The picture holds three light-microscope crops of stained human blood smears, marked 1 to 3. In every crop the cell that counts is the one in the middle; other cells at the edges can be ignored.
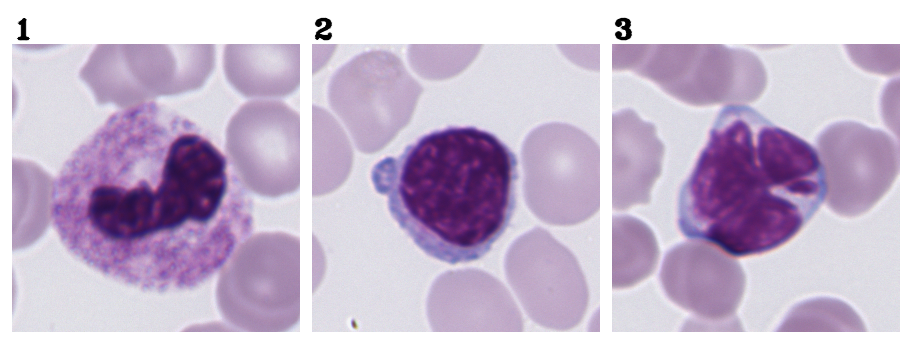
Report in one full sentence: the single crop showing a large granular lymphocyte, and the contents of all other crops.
Crop 3 features a large granular lymphocyte, while crop 1 is a neutrophil and crop 2 is a typical lymphocyte.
